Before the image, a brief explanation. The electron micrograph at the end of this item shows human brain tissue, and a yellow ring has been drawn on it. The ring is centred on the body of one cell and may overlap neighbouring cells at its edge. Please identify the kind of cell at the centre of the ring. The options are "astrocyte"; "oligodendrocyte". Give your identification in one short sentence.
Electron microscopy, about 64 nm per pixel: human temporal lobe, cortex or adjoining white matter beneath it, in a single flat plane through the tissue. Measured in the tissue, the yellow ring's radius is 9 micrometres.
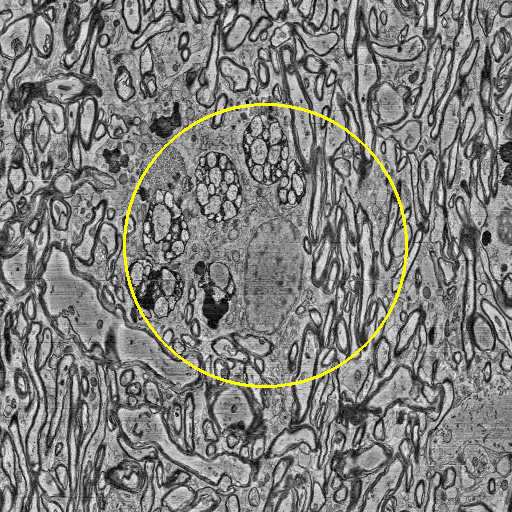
The ring has been placed around an astrocyte.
